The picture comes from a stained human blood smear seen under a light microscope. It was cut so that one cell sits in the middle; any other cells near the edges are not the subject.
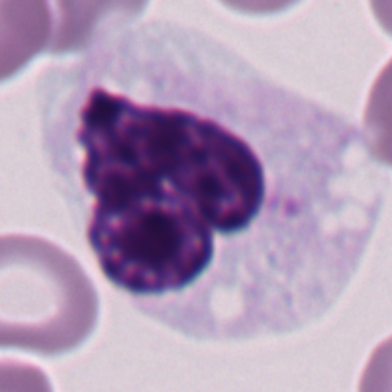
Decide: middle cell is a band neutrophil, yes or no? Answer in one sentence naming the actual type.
No, the central cell is not to be called a band neutrophil, being a segmented neutrophil.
